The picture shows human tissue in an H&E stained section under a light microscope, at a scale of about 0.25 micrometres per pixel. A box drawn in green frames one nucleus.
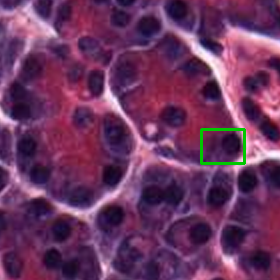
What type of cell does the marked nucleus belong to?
pancreatic acinar cell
